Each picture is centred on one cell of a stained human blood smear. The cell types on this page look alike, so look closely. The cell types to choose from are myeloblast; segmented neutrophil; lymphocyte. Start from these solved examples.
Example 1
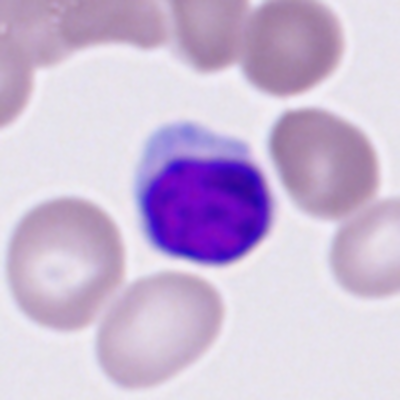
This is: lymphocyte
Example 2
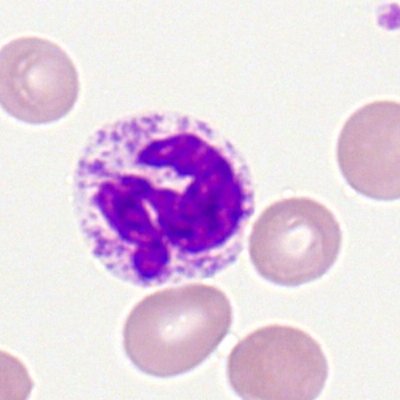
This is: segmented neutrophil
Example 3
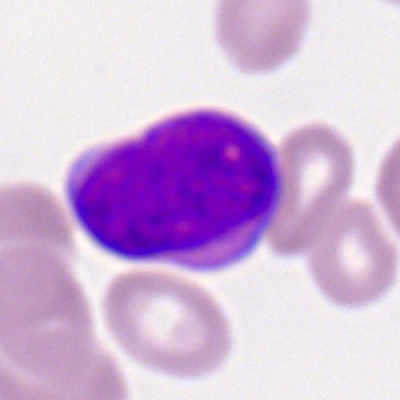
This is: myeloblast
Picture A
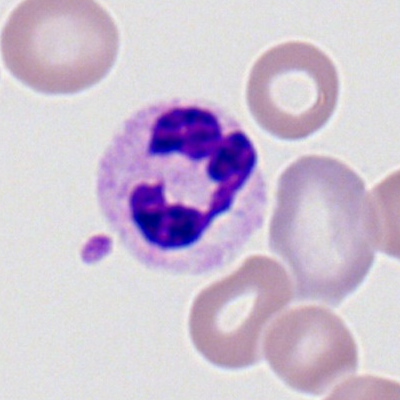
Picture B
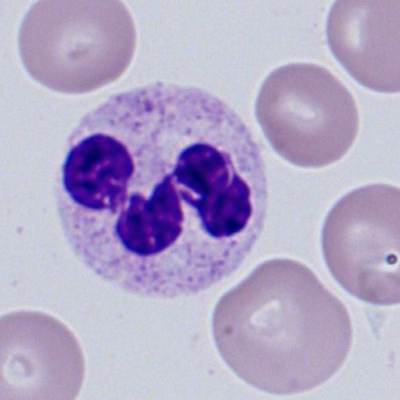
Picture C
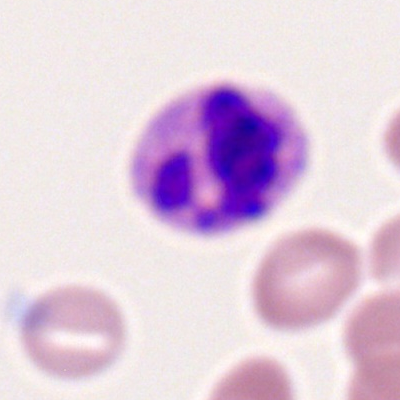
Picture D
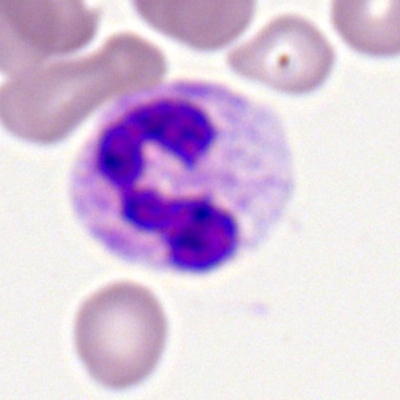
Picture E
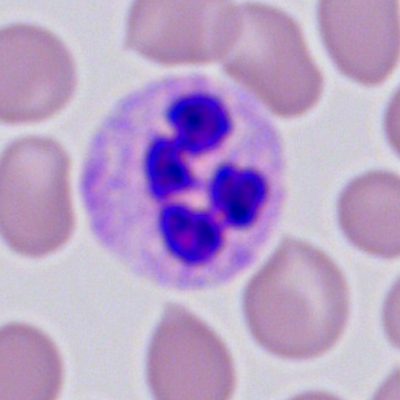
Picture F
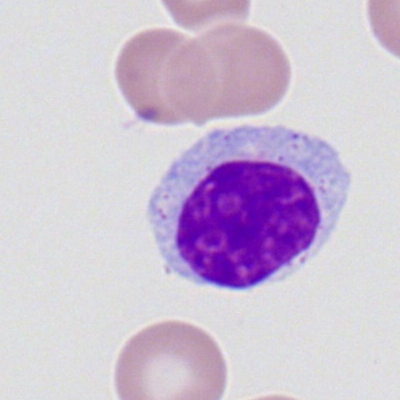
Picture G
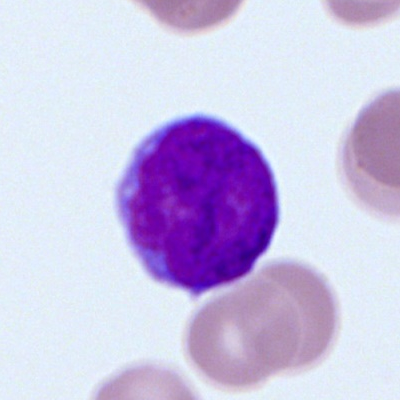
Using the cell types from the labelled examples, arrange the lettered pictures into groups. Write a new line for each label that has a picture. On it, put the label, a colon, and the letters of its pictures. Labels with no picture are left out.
myeloblast: G
segmented neutrophil: A, B, C, D, E
lymphocyte: F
